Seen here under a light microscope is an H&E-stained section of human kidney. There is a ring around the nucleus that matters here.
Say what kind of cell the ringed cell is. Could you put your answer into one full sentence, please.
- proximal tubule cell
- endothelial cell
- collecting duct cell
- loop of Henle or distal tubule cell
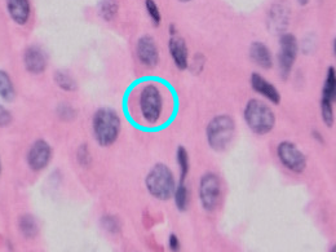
Microscopically, the ringed cell is categorized as a loop of Henle or distal tubule cell.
